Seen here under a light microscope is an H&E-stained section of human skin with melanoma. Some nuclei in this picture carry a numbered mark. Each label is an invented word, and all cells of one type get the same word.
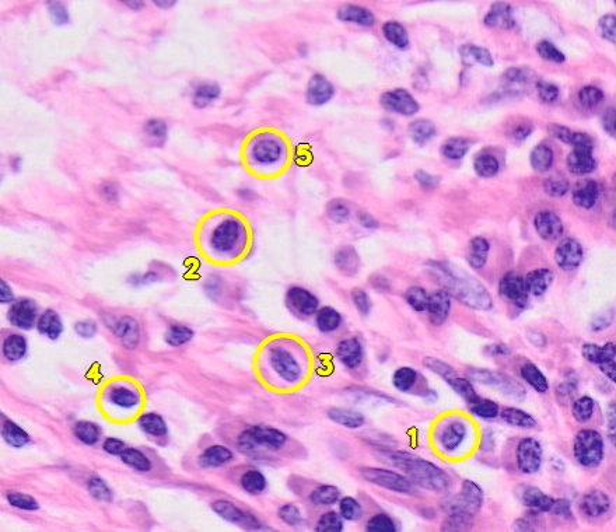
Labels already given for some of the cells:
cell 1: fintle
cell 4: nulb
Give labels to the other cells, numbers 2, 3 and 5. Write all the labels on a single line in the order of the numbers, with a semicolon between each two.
fintle; nulb; fintle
